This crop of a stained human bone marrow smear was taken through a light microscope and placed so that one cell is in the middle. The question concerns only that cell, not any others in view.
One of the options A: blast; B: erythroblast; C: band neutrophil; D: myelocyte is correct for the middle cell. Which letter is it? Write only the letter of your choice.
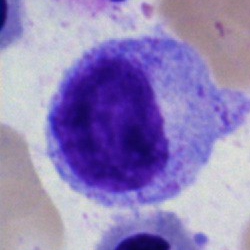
D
